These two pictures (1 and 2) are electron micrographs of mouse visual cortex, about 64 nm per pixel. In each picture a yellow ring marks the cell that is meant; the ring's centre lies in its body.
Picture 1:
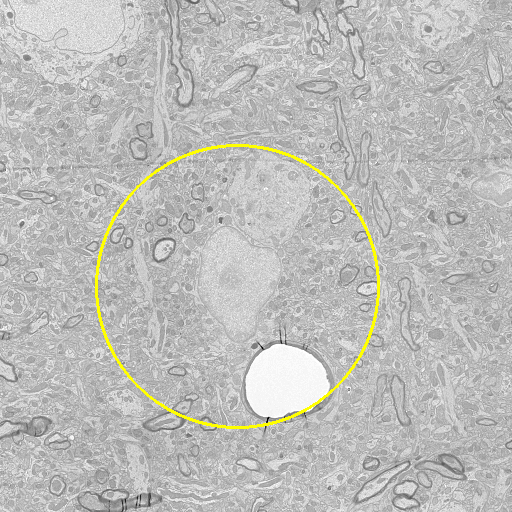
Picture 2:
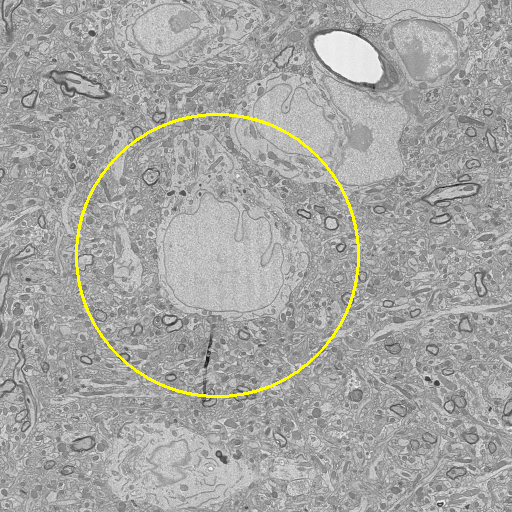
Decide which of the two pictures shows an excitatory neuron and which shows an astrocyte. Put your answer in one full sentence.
Picture 2 shows an excitatory neuron, while picture 1 shows an astrocyte.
